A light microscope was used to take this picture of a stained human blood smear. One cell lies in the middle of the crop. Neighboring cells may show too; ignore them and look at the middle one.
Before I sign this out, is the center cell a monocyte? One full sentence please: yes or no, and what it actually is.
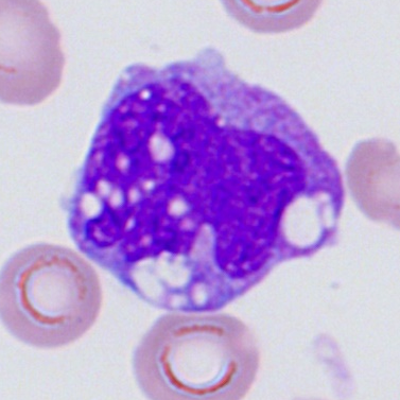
Yes, the central cell here is a monocyte.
